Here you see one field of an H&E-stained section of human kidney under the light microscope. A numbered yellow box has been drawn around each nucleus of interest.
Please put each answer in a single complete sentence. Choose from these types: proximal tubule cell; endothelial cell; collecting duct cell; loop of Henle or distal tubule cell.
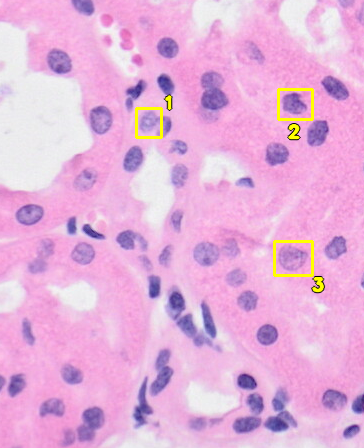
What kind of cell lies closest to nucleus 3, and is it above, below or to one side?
The closest nucleus belongs to a proximal tubule cell and sits to the right of nucleus 3.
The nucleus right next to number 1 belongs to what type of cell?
The cell nearest to number 1 is a collecting duct cell.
